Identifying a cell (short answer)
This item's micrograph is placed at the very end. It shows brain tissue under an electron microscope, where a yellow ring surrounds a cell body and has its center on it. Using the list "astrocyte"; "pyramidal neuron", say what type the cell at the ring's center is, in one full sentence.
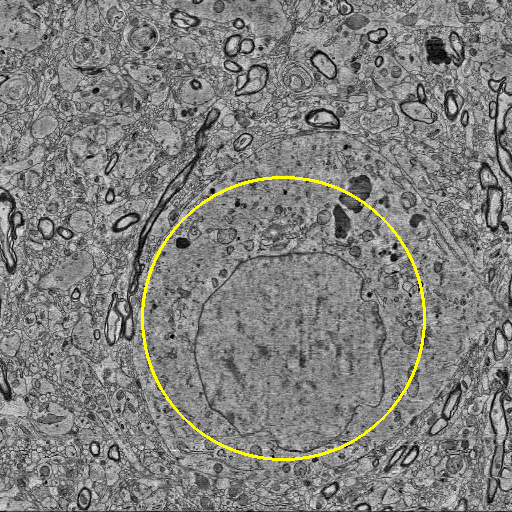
This picture shows a pyramidal neuron at the center of the yellow ring drawn on it.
